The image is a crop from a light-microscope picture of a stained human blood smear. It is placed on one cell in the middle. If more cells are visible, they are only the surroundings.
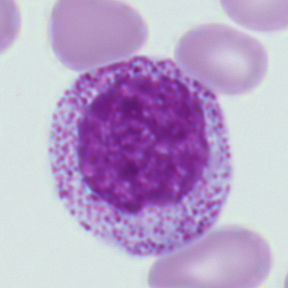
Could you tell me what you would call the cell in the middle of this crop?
myelocyte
